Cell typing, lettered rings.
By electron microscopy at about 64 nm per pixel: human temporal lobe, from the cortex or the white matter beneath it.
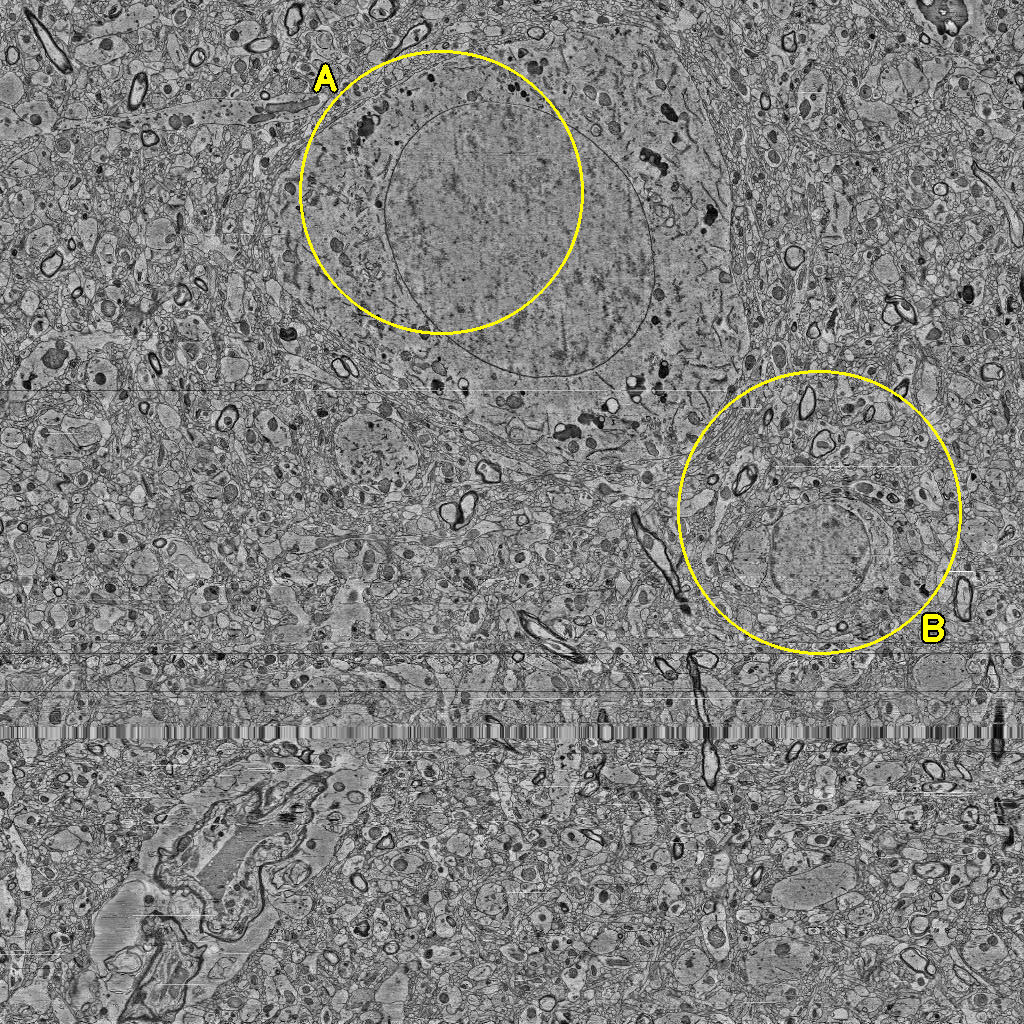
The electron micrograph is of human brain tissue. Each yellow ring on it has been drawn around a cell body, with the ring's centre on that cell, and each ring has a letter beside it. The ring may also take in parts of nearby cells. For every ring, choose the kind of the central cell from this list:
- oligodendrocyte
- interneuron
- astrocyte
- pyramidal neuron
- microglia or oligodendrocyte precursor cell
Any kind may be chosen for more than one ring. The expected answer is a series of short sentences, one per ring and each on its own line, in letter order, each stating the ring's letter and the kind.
For ring A, the centred cell is a pyramidal neuron.
For ring B, the centred cell is a microglial cell or oligodendrocyte precursor cell.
